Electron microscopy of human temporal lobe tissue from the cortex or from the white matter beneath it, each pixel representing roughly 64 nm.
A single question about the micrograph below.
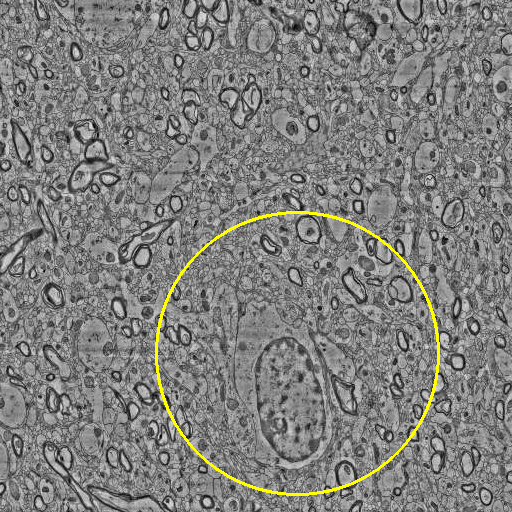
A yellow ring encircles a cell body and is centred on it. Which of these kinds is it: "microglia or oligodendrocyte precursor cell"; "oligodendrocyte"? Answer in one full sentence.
The cell body at the centre of the yellow ring belongs to a microglial cell or oligodendrocyte precursor cell.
